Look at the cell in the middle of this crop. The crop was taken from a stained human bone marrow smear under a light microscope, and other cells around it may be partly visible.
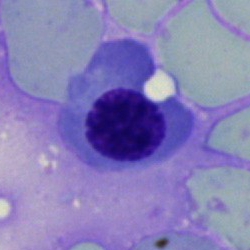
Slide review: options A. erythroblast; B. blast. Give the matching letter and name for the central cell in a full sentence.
The correct response is option A, naming the cell in the middle as an erythroblast.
